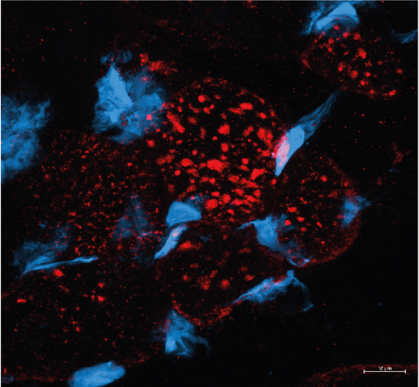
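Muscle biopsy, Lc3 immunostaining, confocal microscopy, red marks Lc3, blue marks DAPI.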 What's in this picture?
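The red dots vary in size from fine specks to larger bright spots and crowd the interior of the rounded fiber profiles. Blue nuclei, elongated and irregular, lie at the borders between fibers. The background between fibers is dark, so the red-dotted fibers stand out as rounded fields.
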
